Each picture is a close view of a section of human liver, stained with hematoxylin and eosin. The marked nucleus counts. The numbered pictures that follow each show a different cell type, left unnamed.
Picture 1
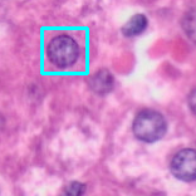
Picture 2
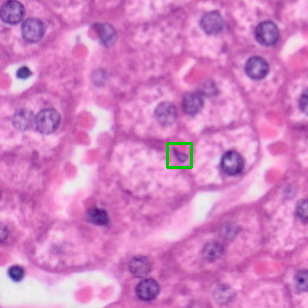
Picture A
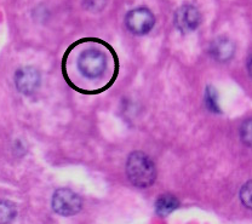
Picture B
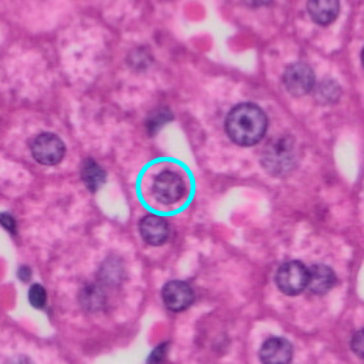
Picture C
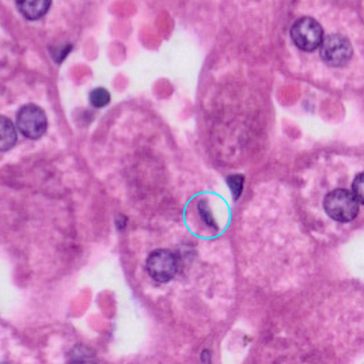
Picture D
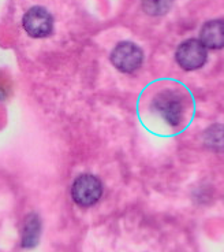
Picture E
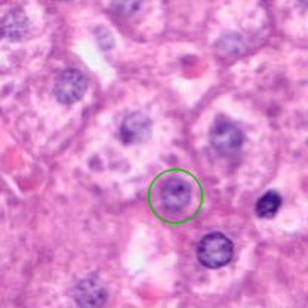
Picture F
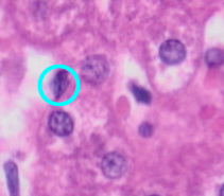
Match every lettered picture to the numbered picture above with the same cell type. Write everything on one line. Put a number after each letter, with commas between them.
A 1, B 1, C 2, D 2, E 1, F 2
